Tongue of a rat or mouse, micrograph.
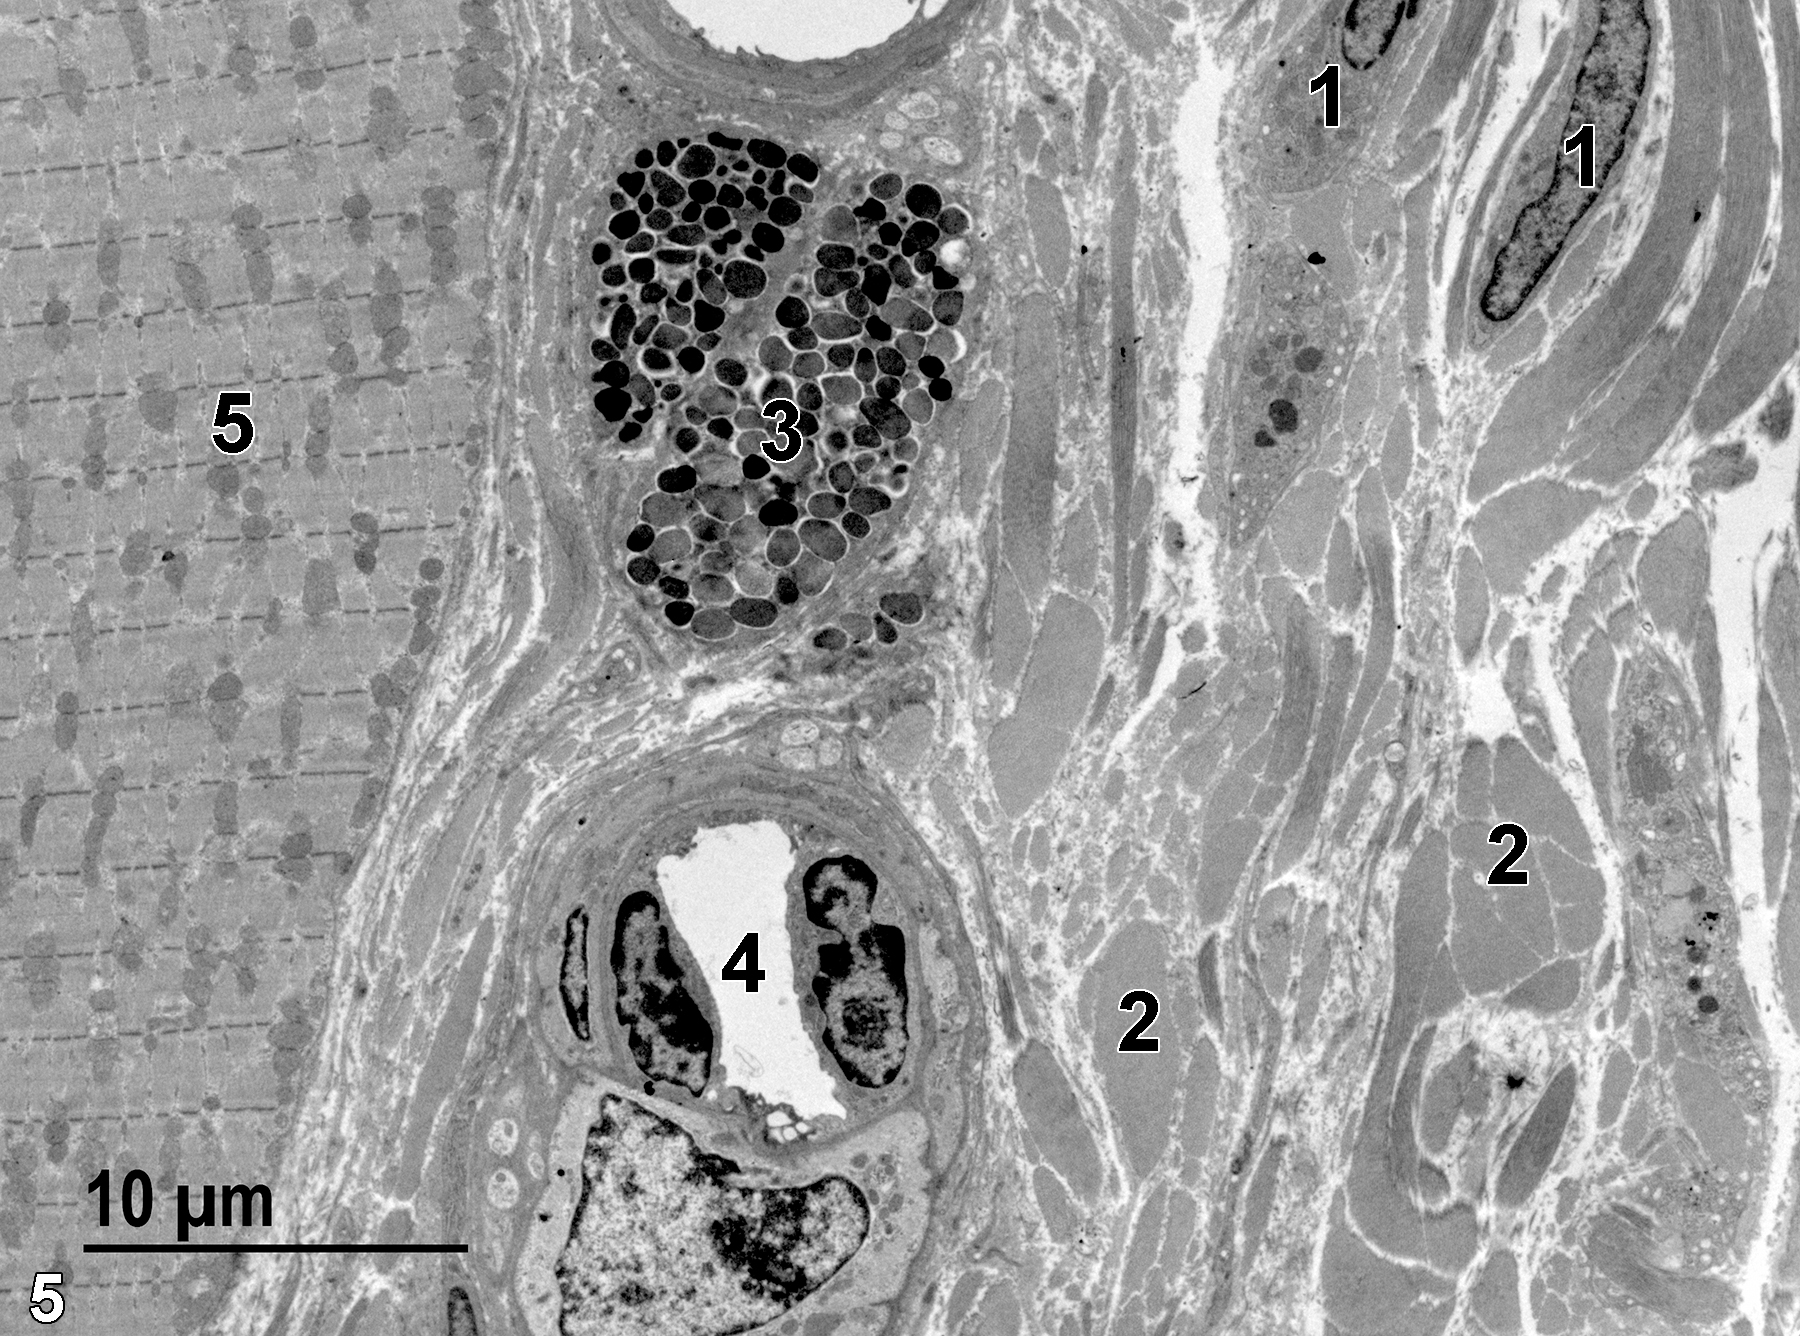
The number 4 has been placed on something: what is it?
capillary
